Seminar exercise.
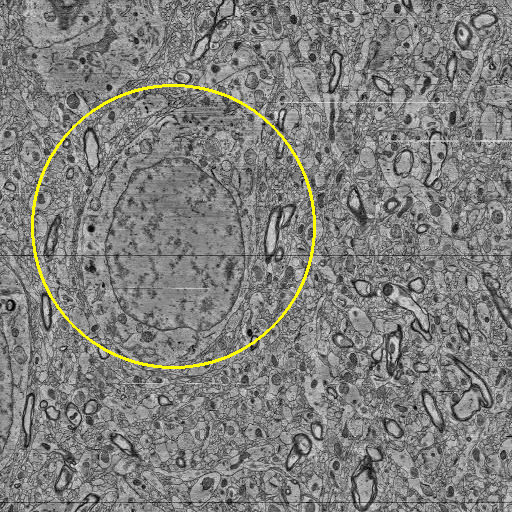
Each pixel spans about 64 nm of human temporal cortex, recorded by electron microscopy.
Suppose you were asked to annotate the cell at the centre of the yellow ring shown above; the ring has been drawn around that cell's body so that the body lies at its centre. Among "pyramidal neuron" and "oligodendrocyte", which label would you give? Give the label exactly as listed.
pyramidal neuron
